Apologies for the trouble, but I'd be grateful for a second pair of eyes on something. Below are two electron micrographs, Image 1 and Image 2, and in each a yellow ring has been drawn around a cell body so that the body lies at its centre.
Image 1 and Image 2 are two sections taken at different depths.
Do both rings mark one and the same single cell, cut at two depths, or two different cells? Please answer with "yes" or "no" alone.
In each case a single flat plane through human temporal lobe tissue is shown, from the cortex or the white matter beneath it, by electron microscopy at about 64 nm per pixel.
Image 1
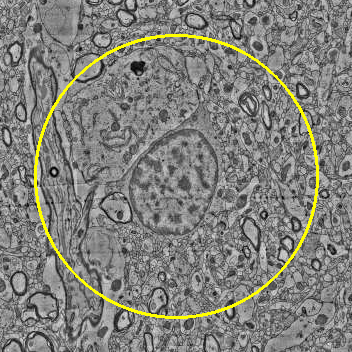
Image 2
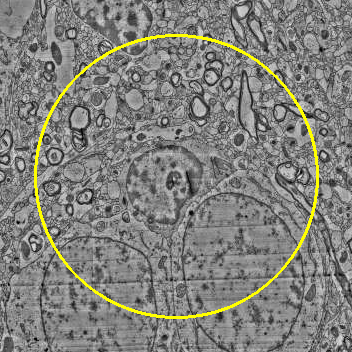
no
